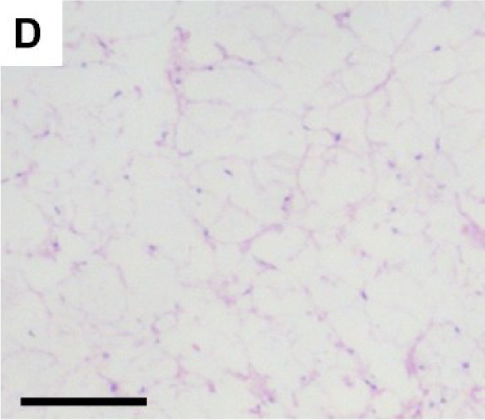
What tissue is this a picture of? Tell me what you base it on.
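A pale meshwork of thin pink cell walls enclosing large empty spaces. Small dark nuclei scattered along the thin walls.
Hence: Adipocyte tissue.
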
